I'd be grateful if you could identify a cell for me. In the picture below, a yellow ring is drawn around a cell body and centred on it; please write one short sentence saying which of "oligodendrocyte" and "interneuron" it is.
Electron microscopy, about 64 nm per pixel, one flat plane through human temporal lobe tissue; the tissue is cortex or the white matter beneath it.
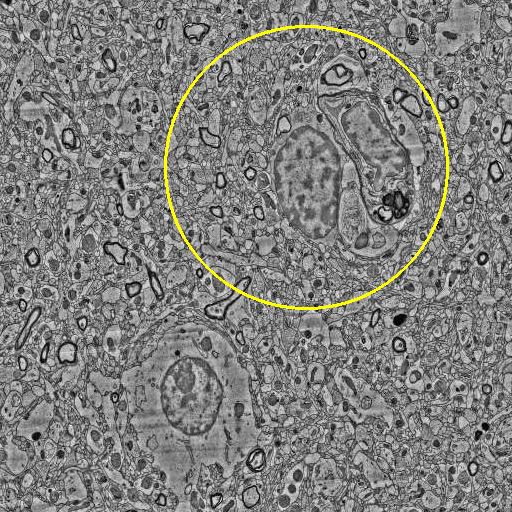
The cell under the ring's centre is an oligodendrocyte.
